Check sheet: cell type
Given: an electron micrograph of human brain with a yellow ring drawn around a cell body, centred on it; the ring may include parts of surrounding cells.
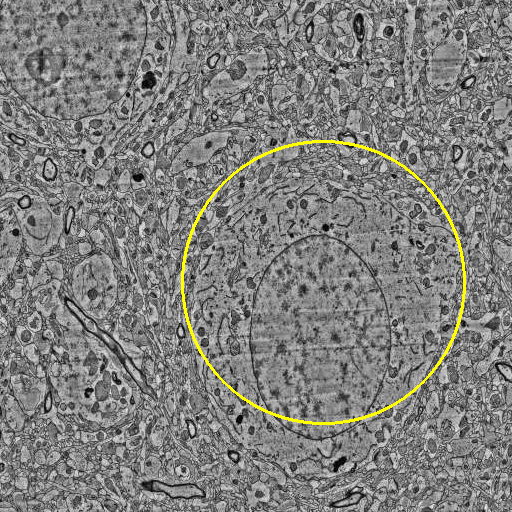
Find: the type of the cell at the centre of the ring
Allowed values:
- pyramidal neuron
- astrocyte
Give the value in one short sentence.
Here the ringed cell is a pyramidal neuron.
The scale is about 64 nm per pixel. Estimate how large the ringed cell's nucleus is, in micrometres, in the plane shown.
About 13 by 9 micrometers, in this plane.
